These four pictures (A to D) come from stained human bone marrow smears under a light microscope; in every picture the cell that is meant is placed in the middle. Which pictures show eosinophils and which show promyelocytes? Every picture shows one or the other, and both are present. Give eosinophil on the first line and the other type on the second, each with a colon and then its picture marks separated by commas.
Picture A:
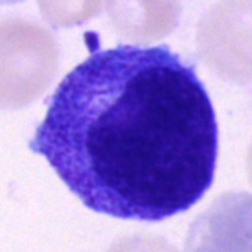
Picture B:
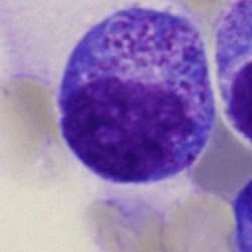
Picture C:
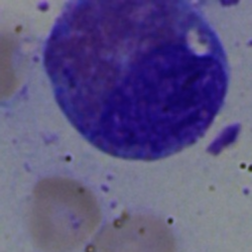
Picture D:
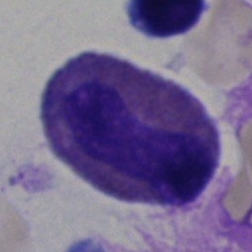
eosinophil: C, D
promyelocyte: A, B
